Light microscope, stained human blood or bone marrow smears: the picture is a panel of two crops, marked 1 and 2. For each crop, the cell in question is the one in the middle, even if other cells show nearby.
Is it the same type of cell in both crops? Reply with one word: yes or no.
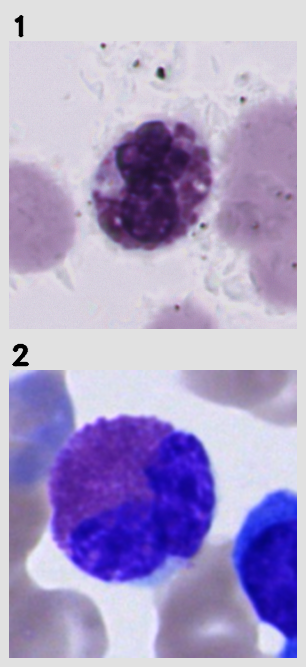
yes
